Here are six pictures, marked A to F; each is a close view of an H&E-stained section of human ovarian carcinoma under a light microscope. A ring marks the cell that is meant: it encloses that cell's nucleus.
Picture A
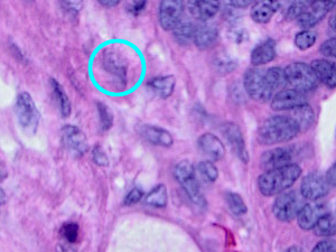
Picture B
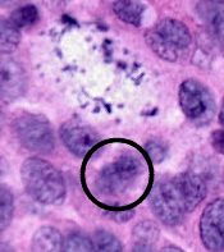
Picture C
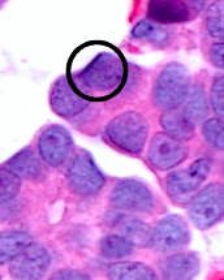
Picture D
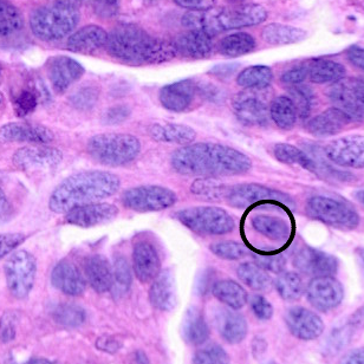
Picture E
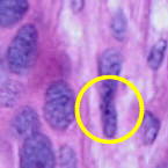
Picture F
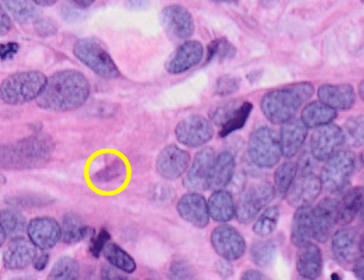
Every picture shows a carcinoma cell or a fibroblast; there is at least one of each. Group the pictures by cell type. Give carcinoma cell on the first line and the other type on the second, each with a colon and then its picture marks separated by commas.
carcinoma cell: B, C, D
fibroblast: A, E, F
